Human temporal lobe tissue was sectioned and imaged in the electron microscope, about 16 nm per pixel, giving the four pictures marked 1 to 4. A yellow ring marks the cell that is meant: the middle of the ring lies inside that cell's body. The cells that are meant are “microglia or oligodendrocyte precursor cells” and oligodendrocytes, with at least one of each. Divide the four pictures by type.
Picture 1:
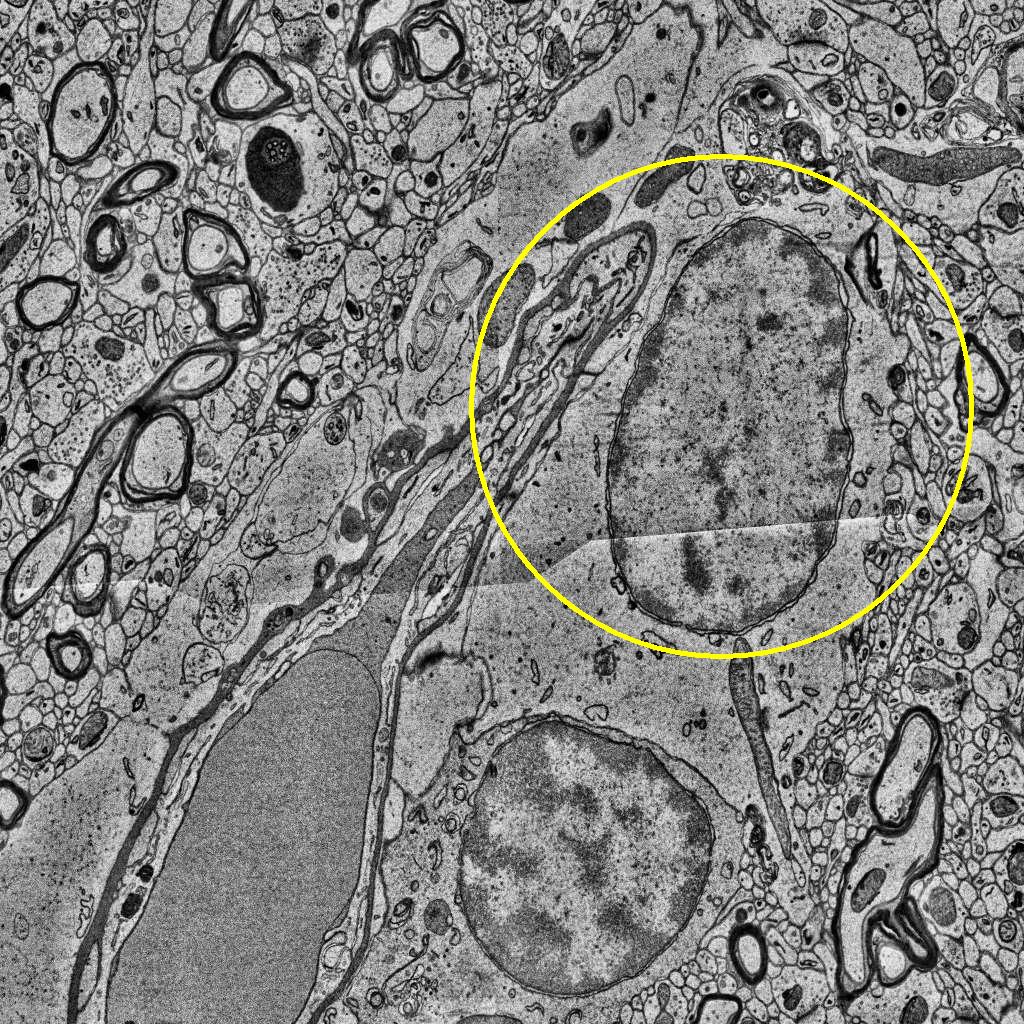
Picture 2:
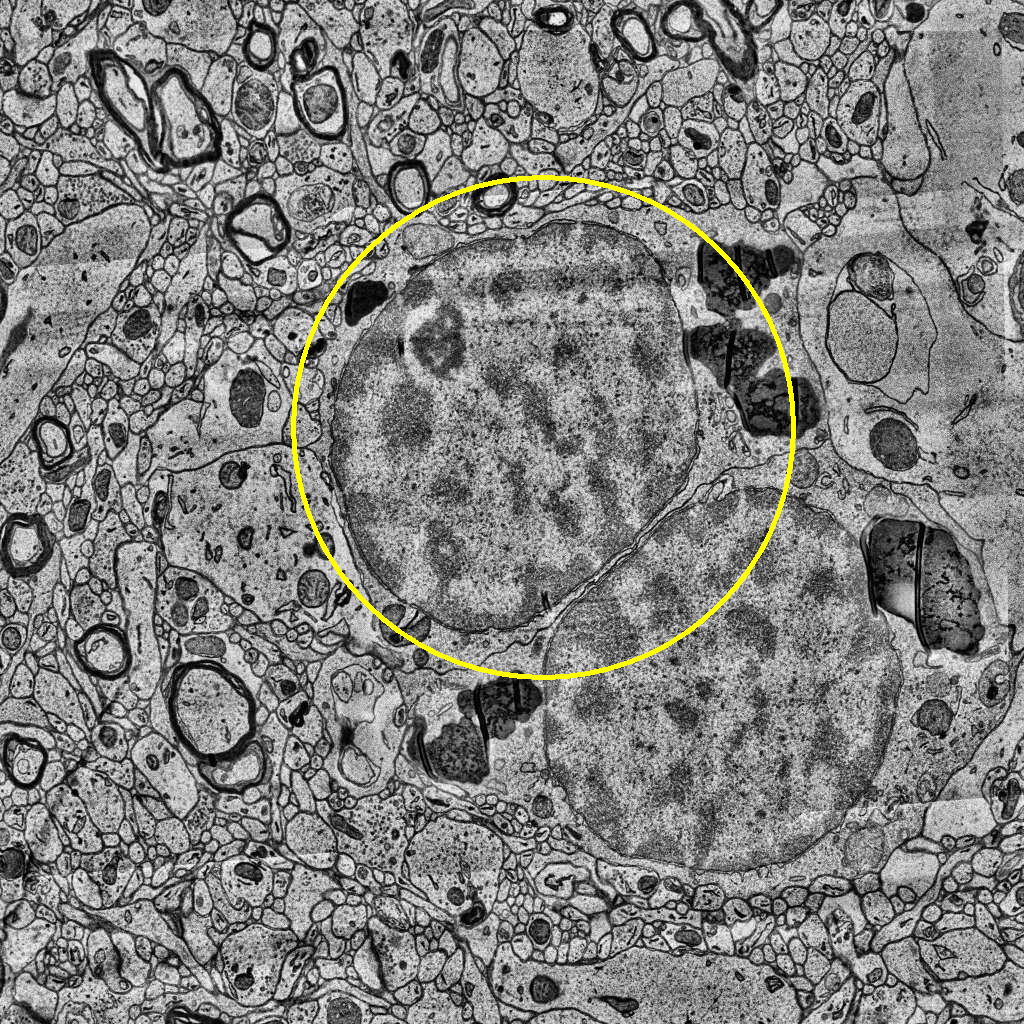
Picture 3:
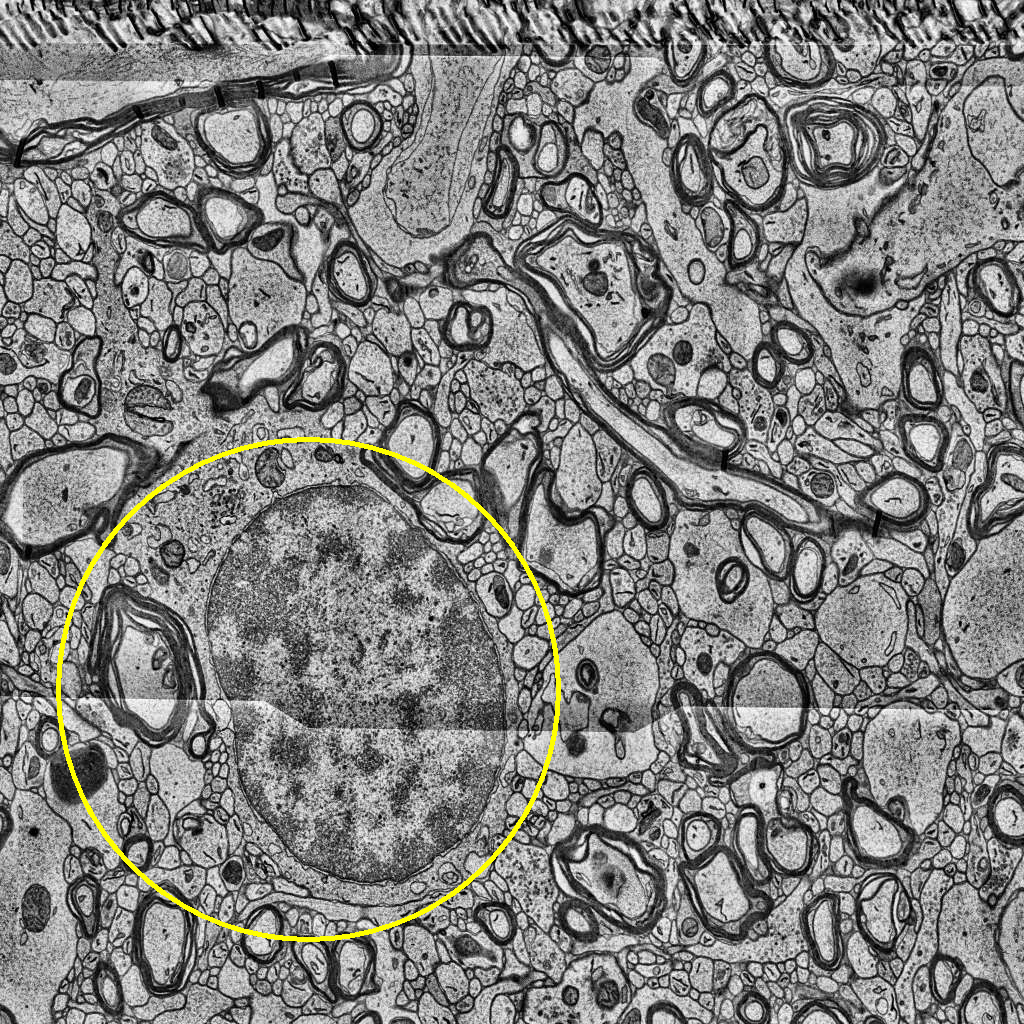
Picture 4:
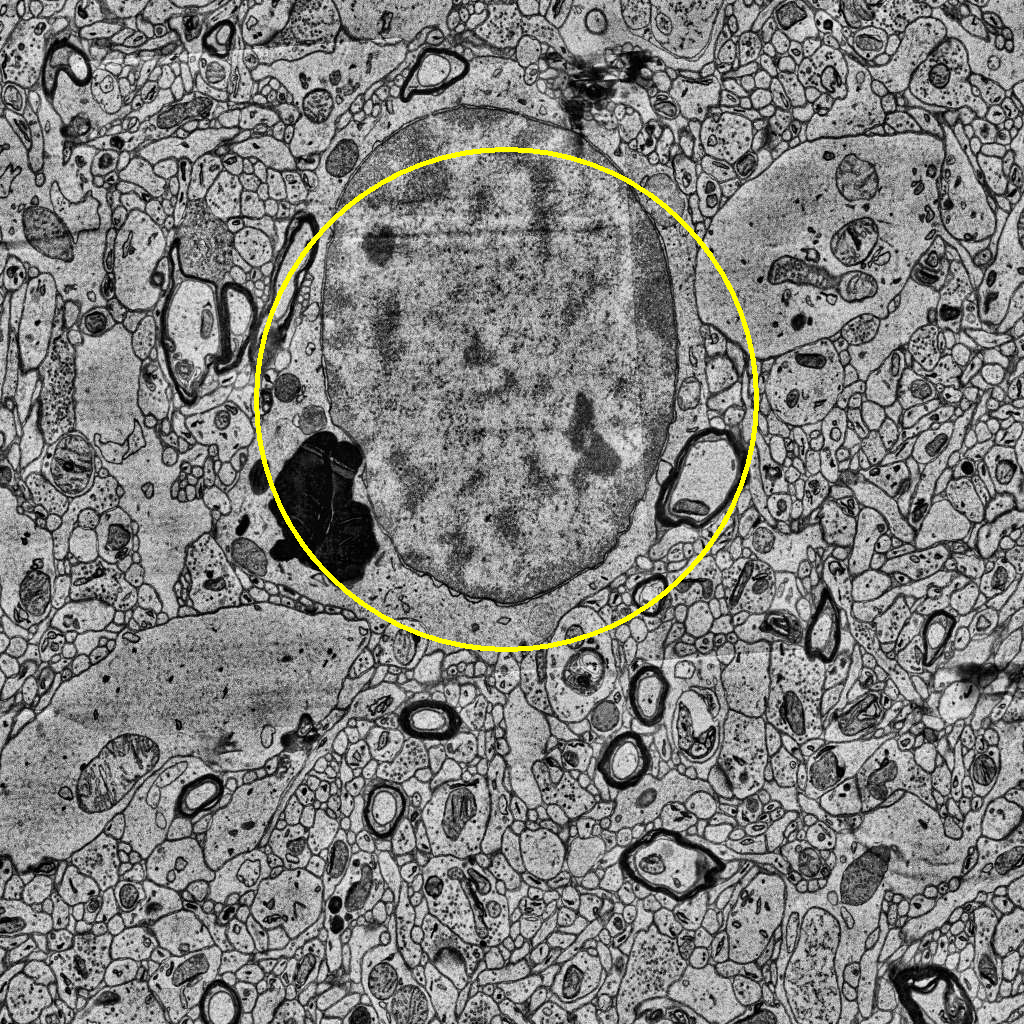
Picture 1 shows a “microglia or oligodendrocyte precursor cell”, while pictures 2, 3 and 4 show oligodendrocytes.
